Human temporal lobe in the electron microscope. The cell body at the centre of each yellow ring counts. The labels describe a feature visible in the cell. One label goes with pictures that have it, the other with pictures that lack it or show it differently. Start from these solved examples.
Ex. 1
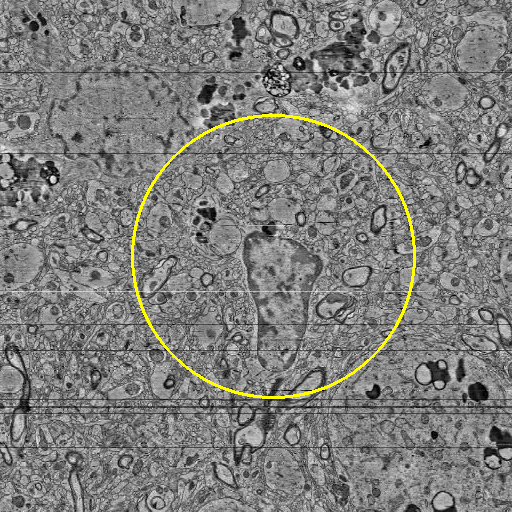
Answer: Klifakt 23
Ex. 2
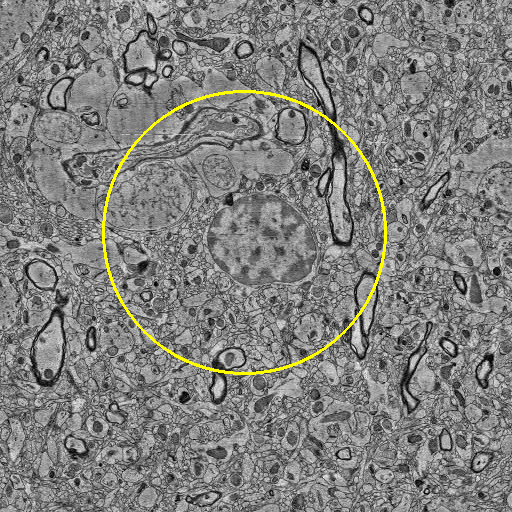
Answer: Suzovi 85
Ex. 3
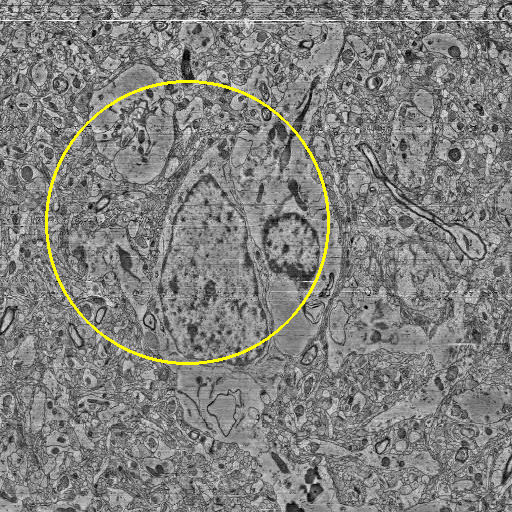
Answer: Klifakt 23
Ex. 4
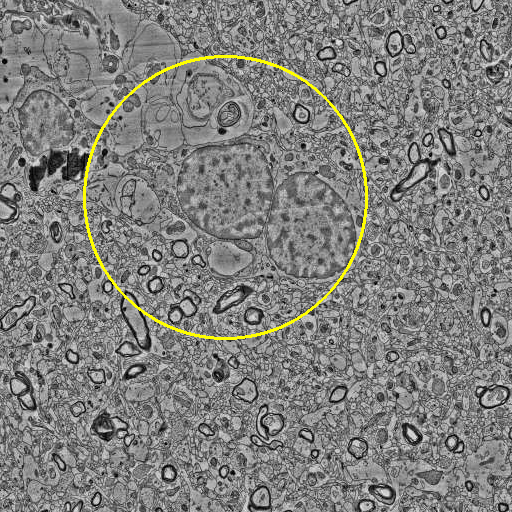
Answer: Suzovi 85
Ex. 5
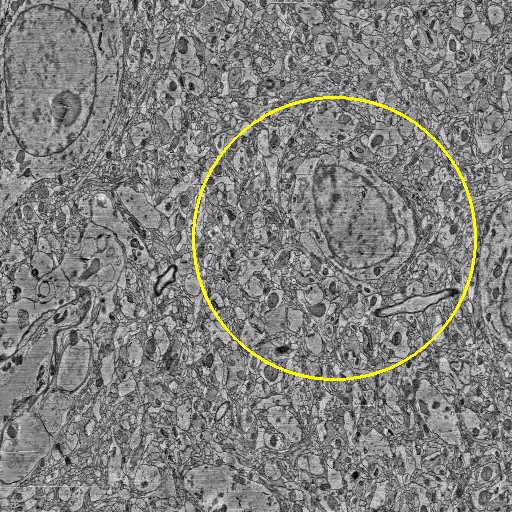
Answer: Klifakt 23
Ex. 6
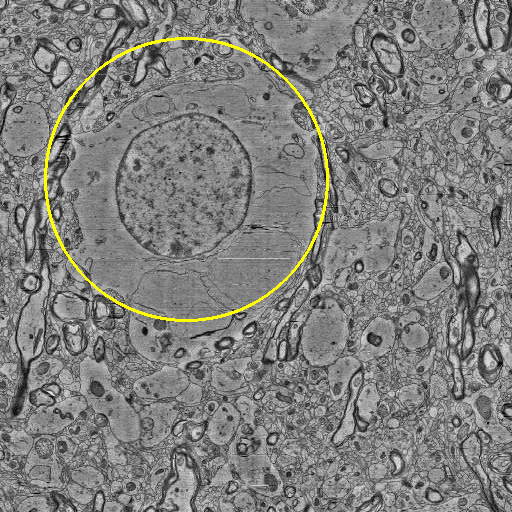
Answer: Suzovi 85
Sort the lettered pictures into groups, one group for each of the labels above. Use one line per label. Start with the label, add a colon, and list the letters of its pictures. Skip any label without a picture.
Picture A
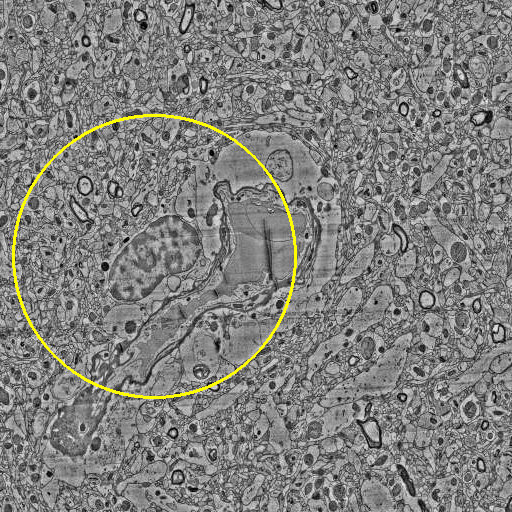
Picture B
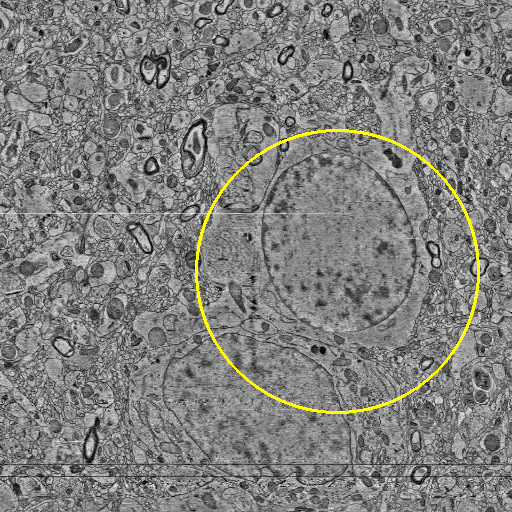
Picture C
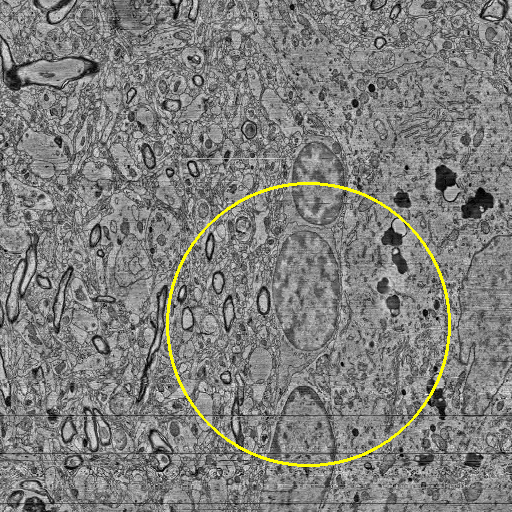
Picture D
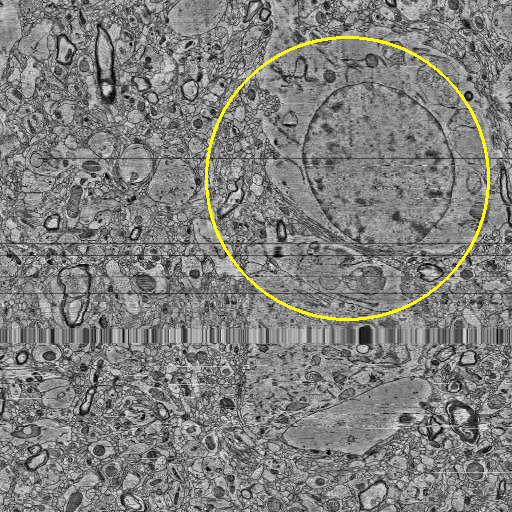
Klifakt 23: A, C
Suzovi 85: B, D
